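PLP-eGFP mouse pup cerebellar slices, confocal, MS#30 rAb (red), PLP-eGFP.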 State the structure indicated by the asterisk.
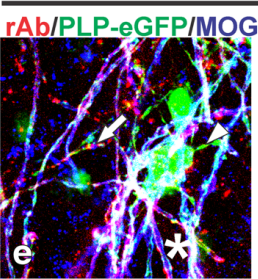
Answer: myelinated axons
